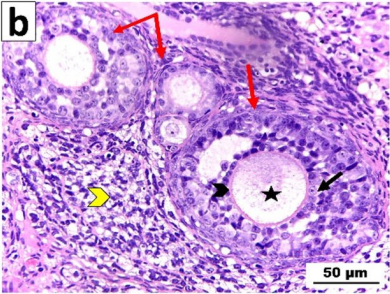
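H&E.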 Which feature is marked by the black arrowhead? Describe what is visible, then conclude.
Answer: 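Zona pellucida. A homogeneous pink acellular ring encircles the large central cell. The ring lies between the large cell and the surrounding layers of small cells.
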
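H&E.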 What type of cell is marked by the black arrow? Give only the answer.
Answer: Granulosa cells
